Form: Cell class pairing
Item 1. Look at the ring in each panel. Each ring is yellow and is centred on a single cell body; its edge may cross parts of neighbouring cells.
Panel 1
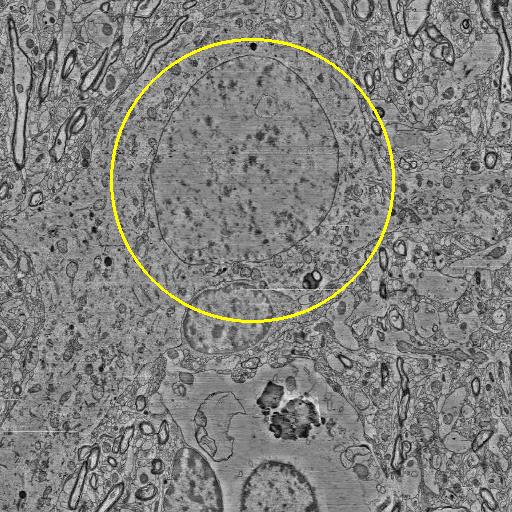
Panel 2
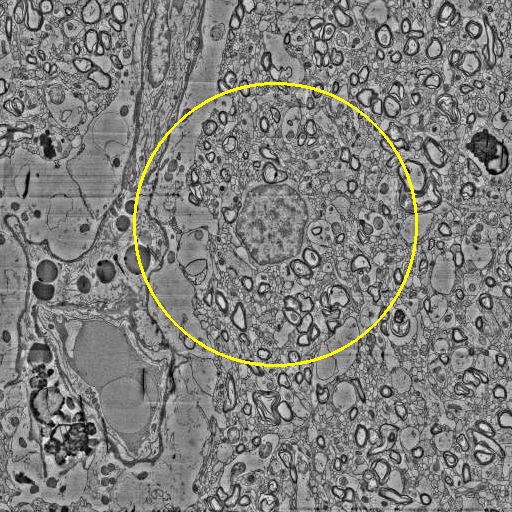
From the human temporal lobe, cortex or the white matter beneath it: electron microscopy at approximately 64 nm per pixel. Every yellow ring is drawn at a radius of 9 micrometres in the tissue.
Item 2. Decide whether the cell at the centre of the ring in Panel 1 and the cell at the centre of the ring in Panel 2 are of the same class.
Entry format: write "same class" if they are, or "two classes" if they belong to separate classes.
two classes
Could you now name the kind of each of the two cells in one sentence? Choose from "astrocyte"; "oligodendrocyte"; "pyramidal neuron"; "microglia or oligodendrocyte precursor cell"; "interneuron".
The first ring encloses a pyramidal neuron; the second ring encloses an oligodendrocyte.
